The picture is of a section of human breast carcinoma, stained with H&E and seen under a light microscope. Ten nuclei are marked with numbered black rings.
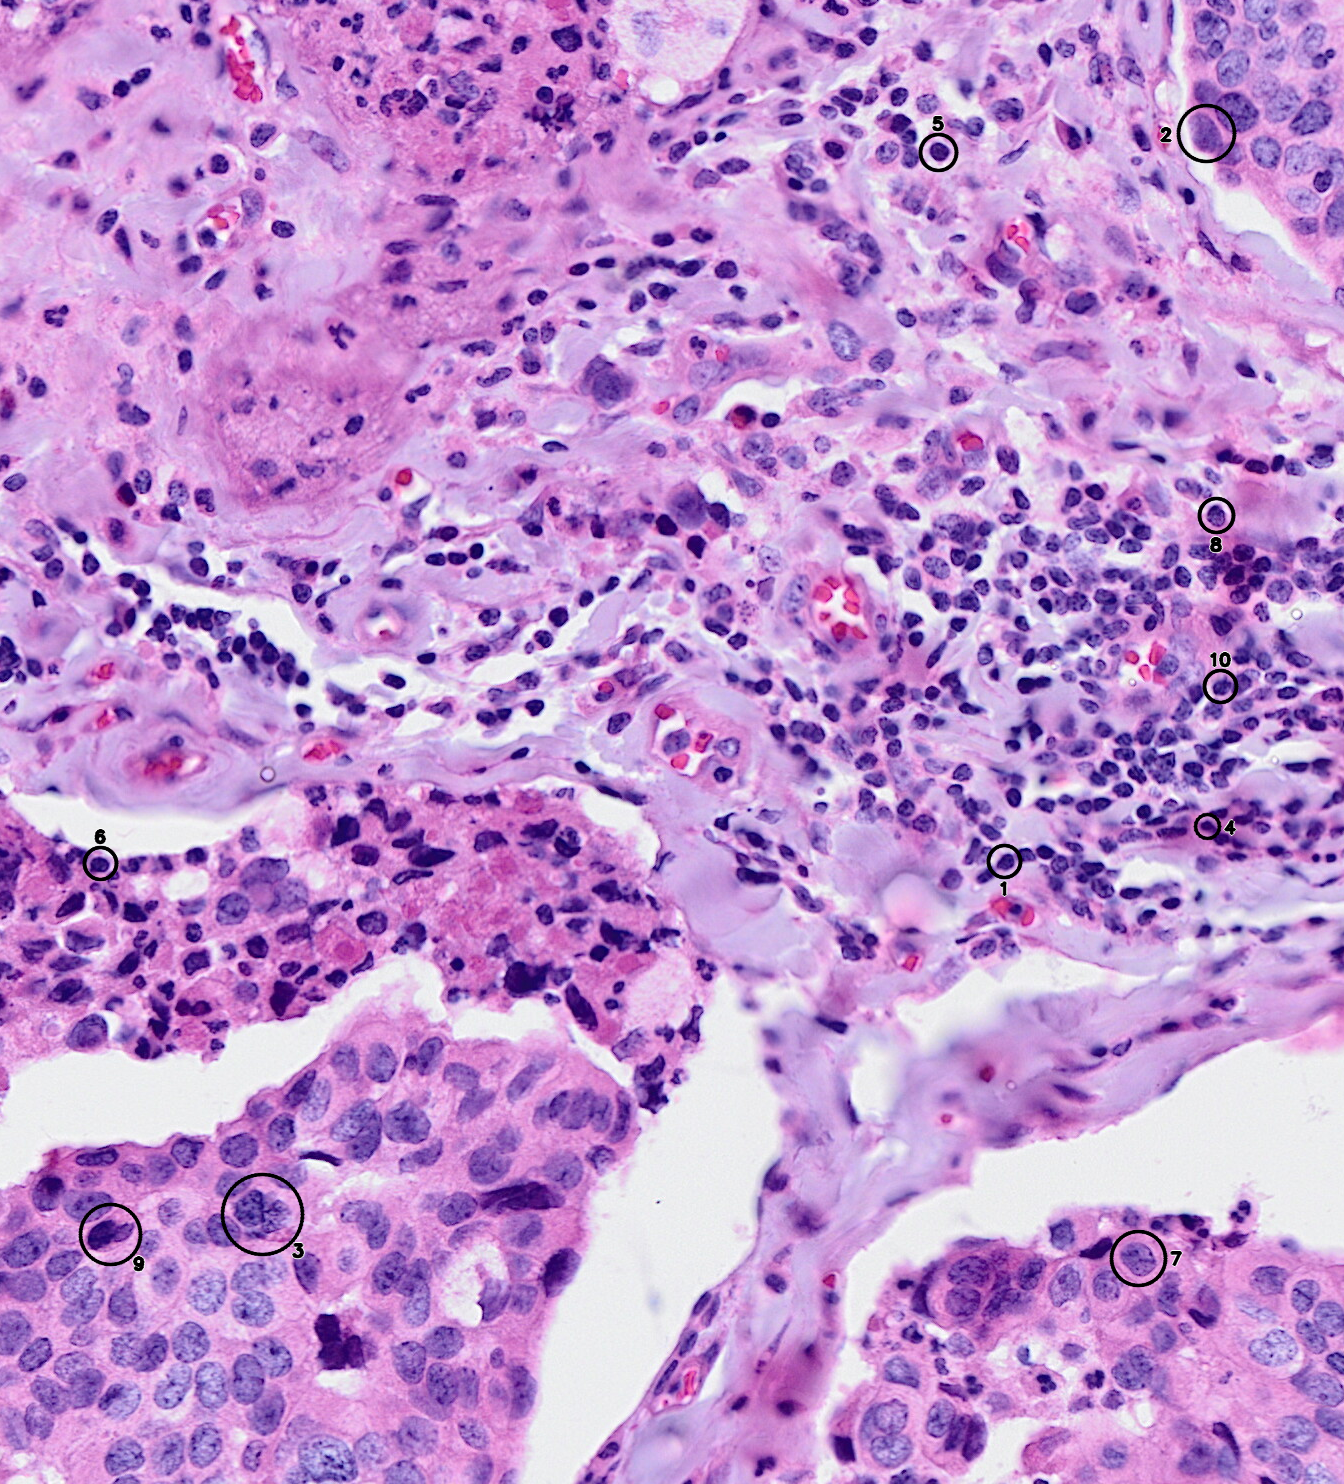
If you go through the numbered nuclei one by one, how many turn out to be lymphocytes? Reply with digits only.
6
